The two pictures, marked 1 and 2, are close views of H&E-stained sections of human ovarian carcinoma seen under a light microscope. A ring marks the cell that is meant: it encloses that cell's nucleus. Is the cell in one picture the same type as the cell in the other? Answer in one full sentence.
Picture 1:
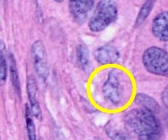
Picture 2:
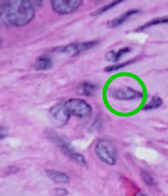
Yes, both are fibroblasts.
